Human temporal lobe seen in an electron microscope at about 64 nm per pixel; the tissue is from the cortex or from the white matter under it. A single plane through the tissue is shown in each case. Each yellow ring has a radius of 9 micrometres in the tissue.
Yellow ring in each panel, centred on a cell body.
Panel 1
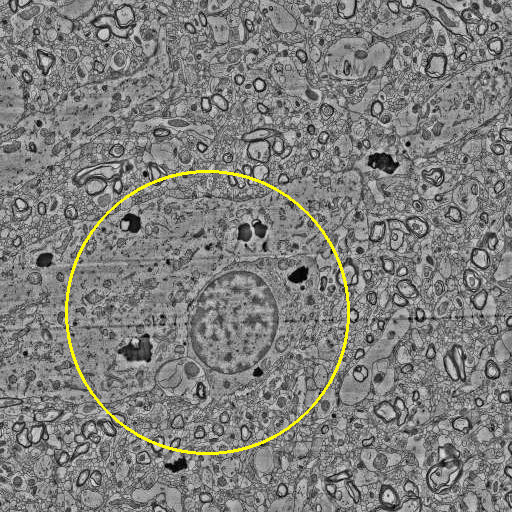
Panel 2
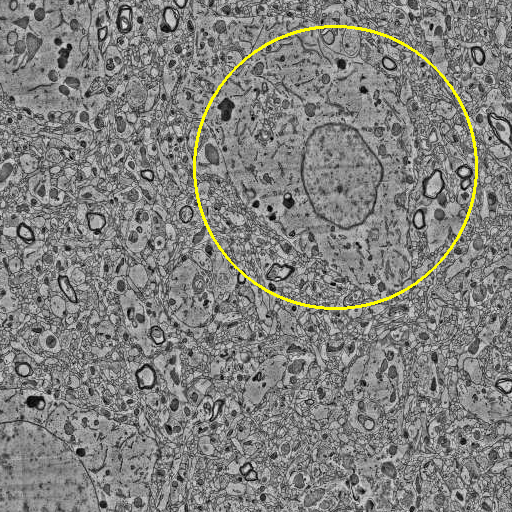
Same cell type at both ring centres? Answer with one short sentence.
No, the two cells are of two types.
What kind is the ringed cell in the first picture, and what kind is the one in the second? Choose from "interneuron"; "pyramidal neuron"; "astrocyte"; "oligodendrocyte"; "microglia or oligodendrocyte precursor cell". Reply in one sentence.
The first cell is an oligodendrocyte; the second is a pyramidal neuron.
